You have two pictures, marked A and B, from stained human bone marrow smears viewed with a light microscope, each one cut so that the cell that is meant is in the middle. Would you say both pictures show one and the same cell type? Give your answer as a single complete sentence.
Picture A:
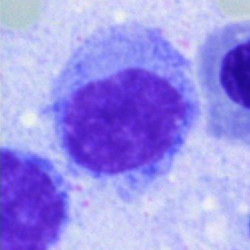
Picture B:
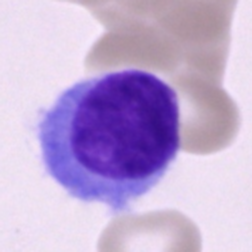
Yes, both cells are hairy cells.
